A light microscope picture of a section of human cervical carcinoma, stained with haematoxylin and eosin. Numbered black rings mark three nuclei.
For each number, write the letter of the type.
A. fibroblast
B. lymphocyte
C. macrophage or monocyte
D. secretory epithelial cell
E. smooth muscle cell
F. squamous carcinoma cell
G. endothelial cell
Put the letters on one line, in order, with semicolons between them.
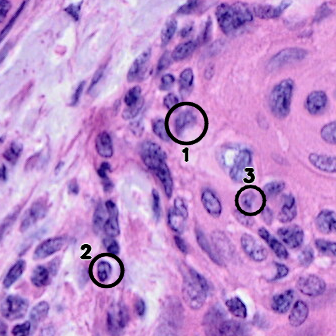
F; B; F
